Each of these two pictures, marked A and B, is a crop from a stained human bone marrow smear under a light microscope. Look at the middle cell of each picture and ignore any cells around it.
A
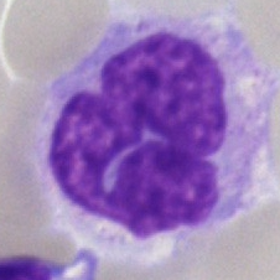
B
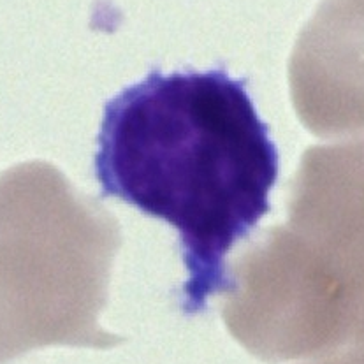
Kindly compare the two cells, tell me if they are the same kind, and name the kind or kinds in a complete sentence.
No, crop A contains a monocyte; a lymphocyte is what crop B contains.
